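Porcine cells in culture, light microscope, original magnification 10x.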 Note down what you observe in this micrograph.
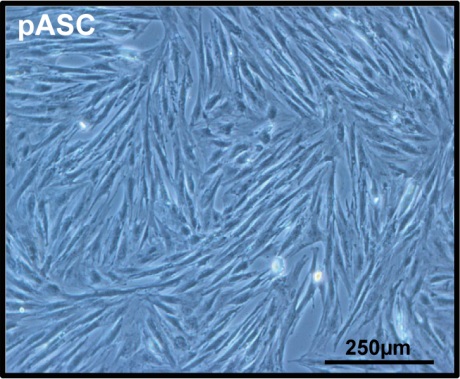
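The cells are long, slender and spindle-shaped, with tapering ends. They lie side by side in parallel bundles that change direction across the field, forming swirling, fan-like patterns. Cell borders appear bright against the bluish background, and the cells cover nearly the whole surface. A few small bright rounded bodies lie scattered on the layer.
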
